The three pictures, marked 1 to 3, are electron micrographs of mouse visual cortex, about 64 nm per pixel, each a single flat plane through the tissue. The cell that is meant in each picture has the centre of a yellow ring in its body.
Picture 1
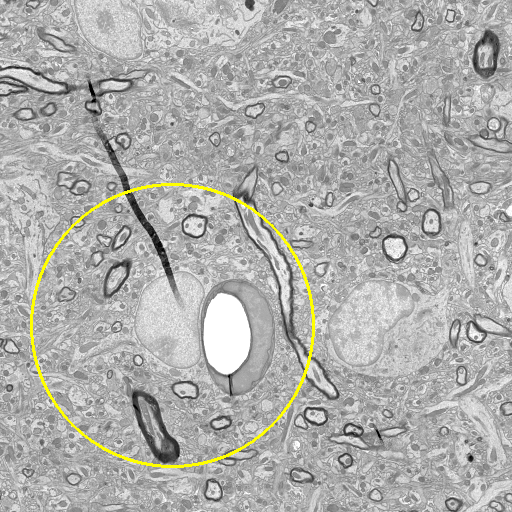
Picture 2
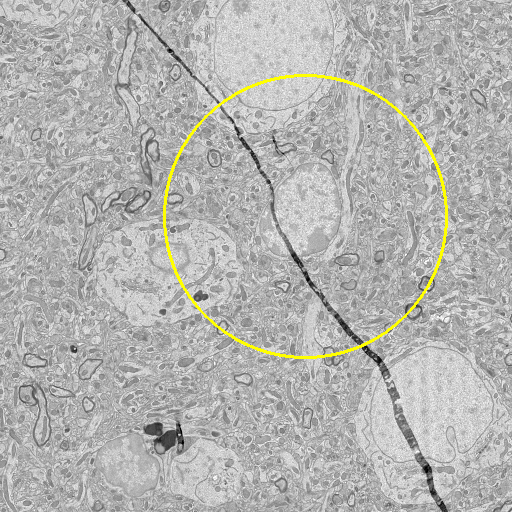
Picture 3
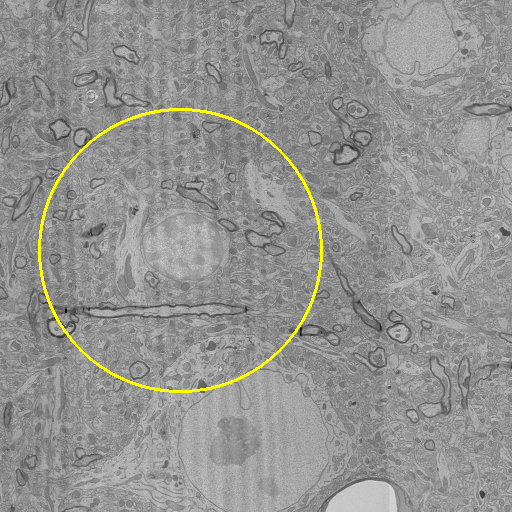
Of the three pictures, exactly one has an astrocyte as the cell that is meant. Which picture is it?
The picture with the astrocyte is 1.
